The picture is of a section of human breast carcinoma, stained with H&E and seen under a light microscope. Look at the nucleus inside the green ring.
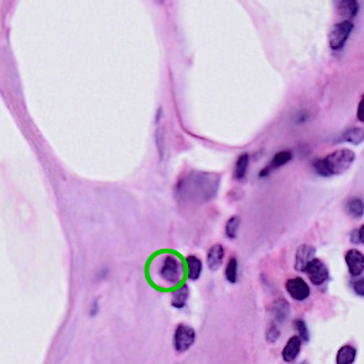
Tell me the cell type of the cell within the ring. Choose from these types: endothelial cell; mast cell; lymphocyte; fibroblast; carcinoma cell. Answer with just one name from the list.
lymphocyte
